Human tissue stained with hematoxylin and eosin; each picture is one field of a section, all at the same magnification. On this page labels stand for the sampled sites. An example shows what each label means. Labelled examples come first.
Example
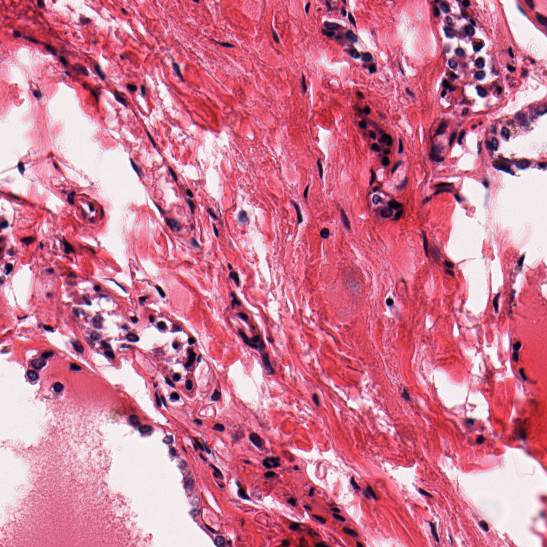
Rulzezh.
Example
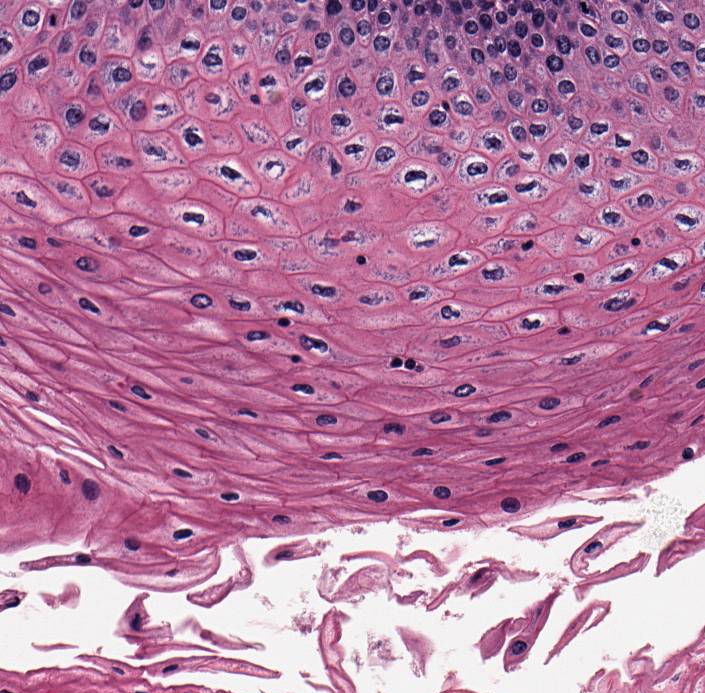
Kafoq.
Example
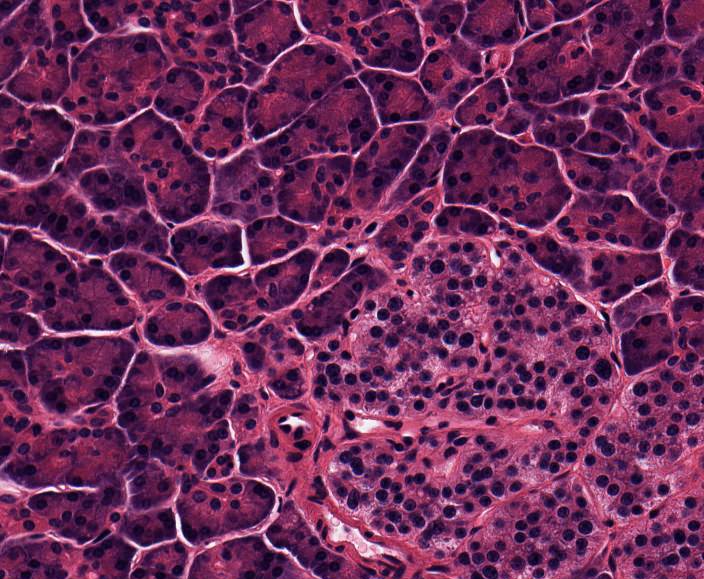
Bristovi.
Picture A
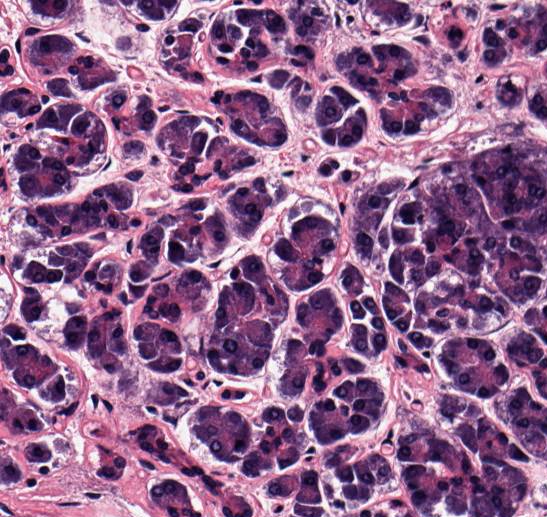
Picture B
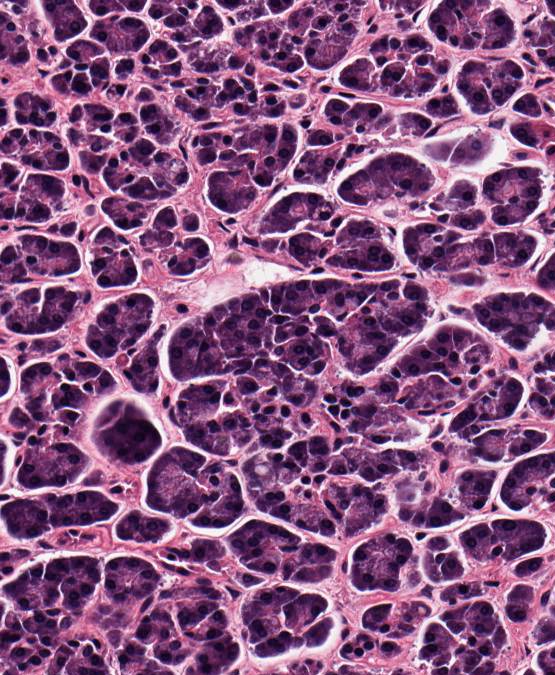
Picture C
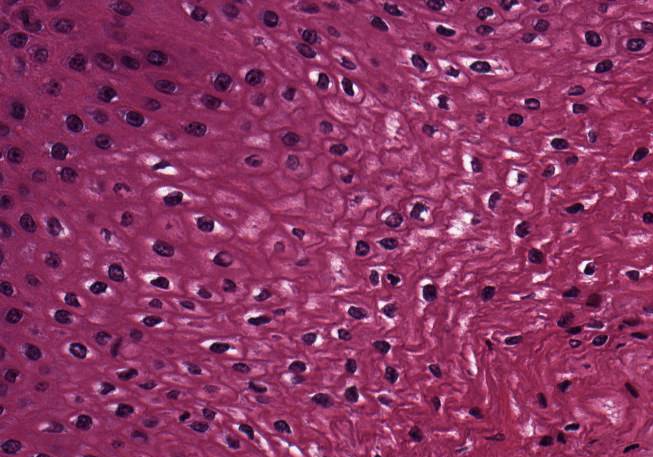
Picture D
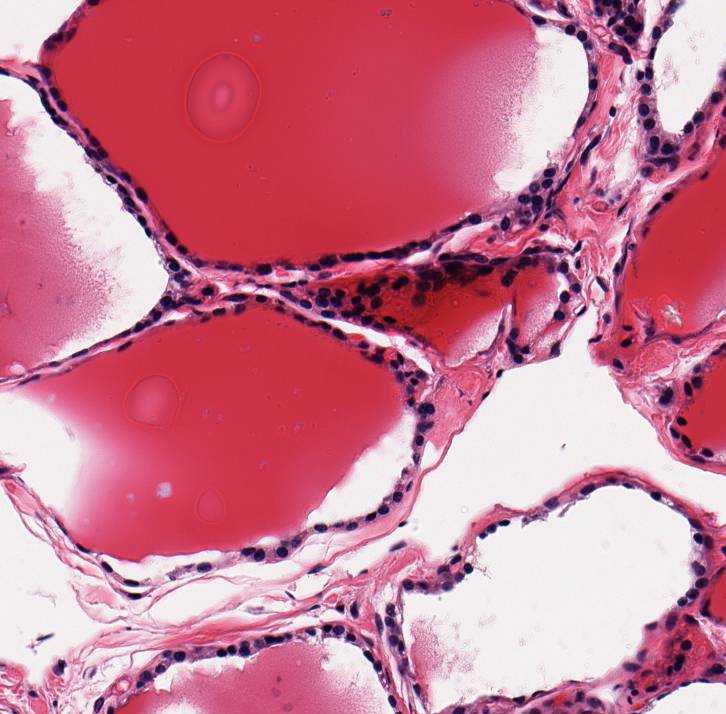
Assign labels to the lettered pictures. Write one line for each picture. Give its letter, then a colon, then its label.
A: Bristovi.
B: Bristovi.
C: Kafoq.
D: Rulzezh.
